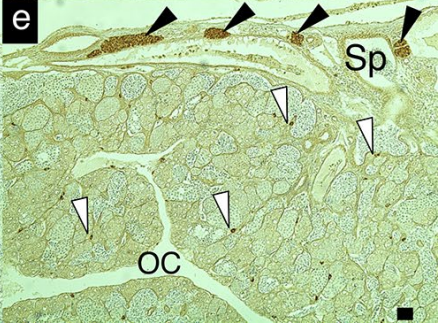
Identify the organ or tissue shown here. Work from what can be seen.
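Testis. The tissue is filled with lobules of small densely packed germ cells. No oocytes are visible.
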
